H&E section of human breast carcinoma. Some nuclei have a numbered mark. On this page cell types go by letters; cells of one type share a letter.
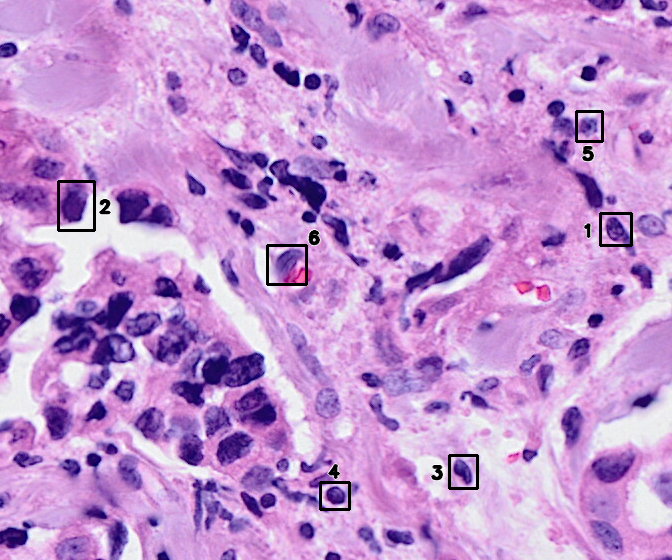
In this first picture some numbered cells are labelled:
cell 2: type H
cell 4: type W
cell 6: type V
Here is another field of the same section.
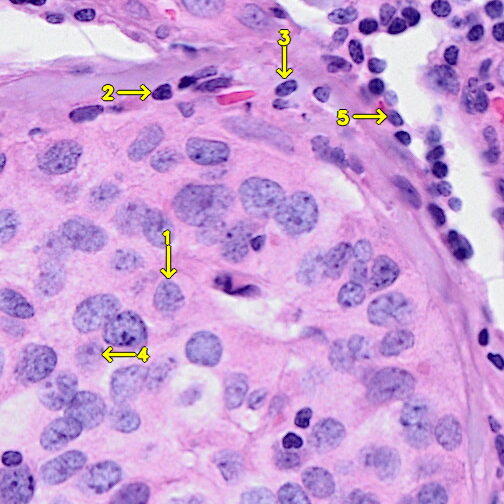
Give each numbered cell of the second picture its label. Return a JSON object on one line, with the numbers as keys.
{"1": "type H", "2": "type W", "3": "type W", "4": "type H", "5": "type W"}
